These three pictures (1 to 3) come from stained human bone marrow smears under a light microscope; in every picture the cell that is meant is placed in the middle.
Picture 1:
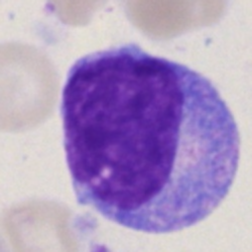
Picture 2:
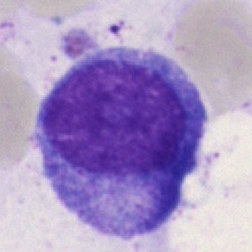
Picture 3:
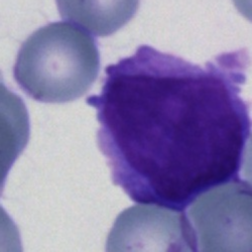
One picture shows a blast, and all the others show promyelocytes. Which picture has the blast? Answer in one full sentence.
Picture 3 shows the blast.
